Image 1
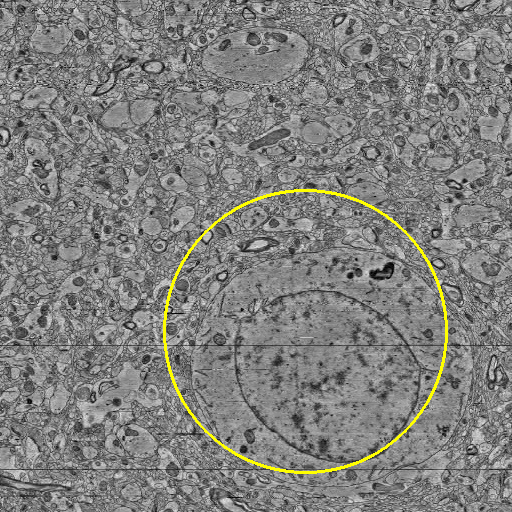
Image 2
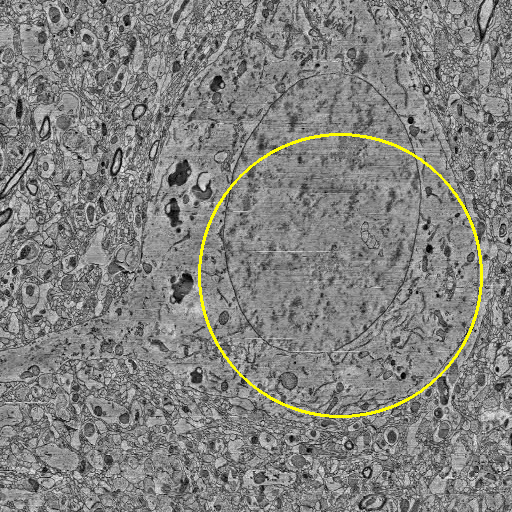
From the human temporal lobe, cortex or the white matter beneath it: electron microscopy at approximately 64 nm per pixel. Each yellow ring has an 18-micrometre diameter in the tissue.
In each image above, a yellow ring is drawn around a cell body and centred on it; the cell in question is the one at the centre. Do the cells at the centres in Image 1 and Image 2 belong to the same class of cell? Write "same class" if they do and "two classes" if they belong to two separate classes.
same class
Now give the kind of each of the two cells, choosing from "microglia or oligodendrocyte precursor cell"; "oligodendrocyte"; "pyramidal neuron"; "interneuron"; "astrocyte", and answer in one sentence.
Each of the two rings surrounds a pyramidal neuron.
